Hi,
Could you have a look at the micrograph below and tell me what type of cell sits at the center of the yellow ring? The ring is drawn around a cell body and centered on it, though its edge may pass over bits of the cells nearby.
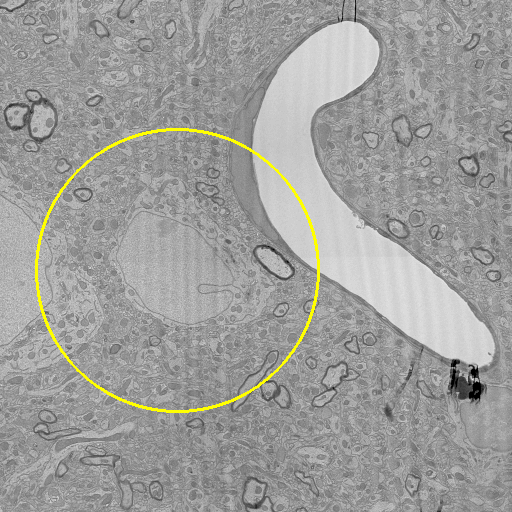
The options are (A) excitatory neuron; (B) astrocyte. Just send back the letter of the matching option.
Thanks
A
